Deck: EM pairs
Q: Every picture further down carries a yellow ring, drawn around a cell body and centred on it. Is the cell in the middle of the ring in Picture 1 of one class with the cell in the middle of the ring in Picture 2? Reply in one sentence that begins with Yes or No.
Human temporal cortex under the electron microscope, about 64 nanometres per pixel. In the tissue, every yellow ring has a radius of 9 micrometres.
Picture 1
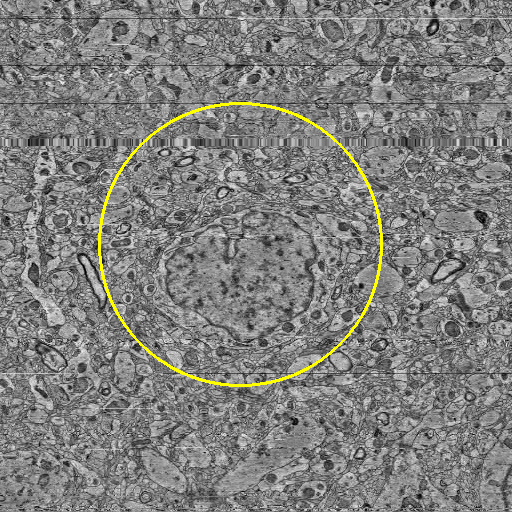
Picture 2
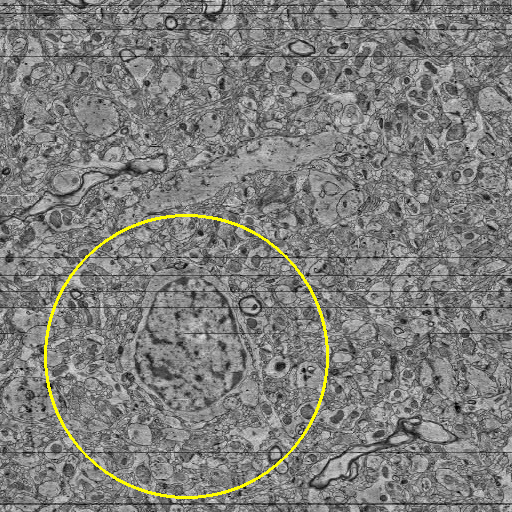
No, the cell centred in the ring of Picture 1 and the one in Picture 2 belong to separate classes.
